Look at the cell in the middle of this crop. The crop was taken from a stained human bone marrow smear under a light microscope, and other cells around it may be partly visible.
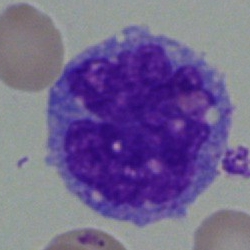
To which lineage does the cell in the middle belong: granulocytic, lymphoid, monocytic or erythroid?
monocytic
